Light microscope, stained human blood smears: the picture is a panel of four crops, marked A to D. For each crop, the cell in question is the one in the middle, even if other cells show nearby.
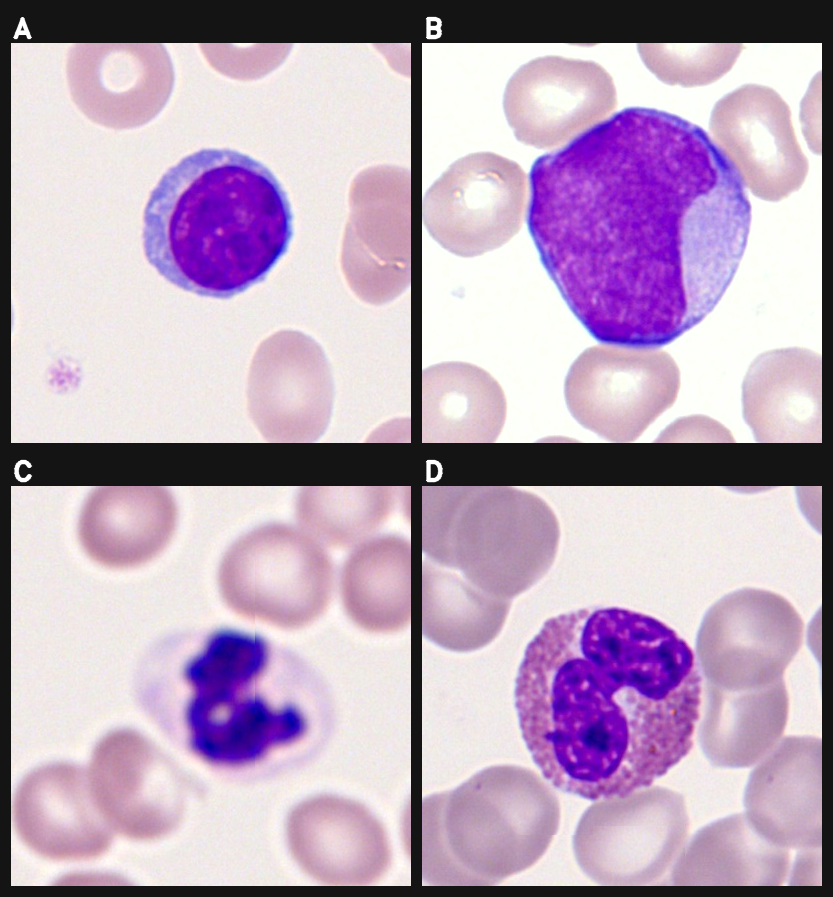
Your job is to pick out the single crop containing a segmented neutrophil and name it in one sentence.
Among the crops, only crop C contains a segmented neutrophil.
